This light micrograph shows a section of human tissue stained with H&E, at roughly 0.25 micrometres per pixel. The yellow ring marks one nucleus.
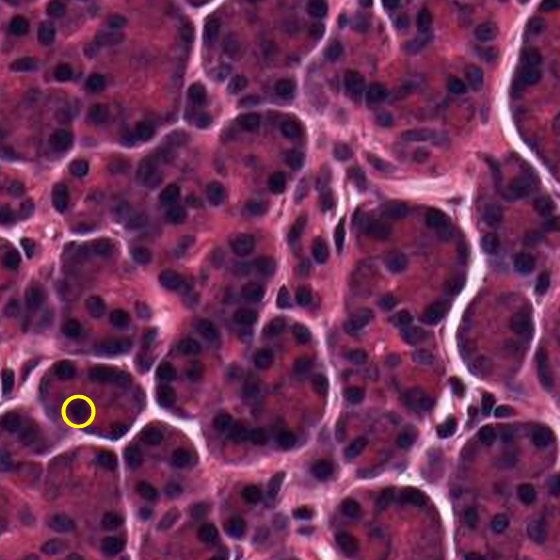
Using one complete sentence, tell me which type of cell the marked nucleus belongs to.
The marked nucleus lies within a pancreatic acinar cell.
